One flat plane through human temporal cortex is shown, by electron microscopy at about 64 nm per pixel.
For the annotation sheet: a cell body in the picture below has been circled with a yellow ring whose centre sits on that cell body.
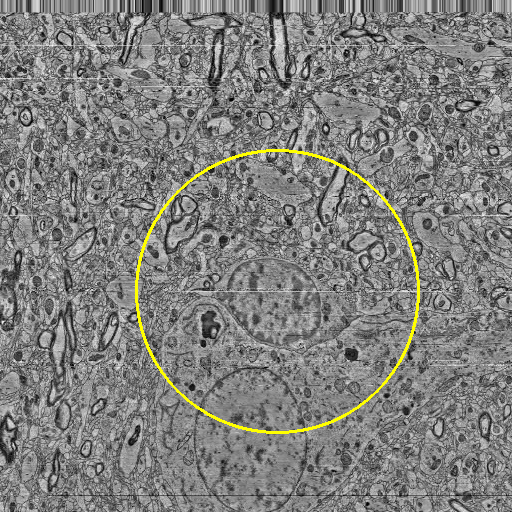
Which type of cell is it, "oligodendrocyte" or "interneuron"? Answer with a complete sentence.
The circled cell is an oligodendrocyte.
